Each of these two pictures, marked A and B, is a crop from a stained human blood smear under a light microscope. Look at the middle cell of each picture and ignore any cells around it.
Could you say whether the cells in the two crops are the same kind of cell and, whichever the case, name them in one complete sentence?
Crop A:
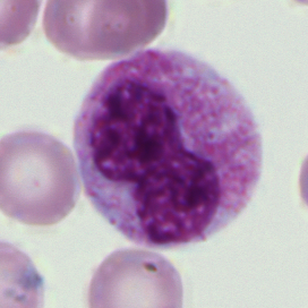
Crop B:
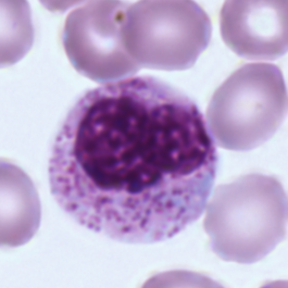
Yes, the pair of crops both show band neutrophils.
